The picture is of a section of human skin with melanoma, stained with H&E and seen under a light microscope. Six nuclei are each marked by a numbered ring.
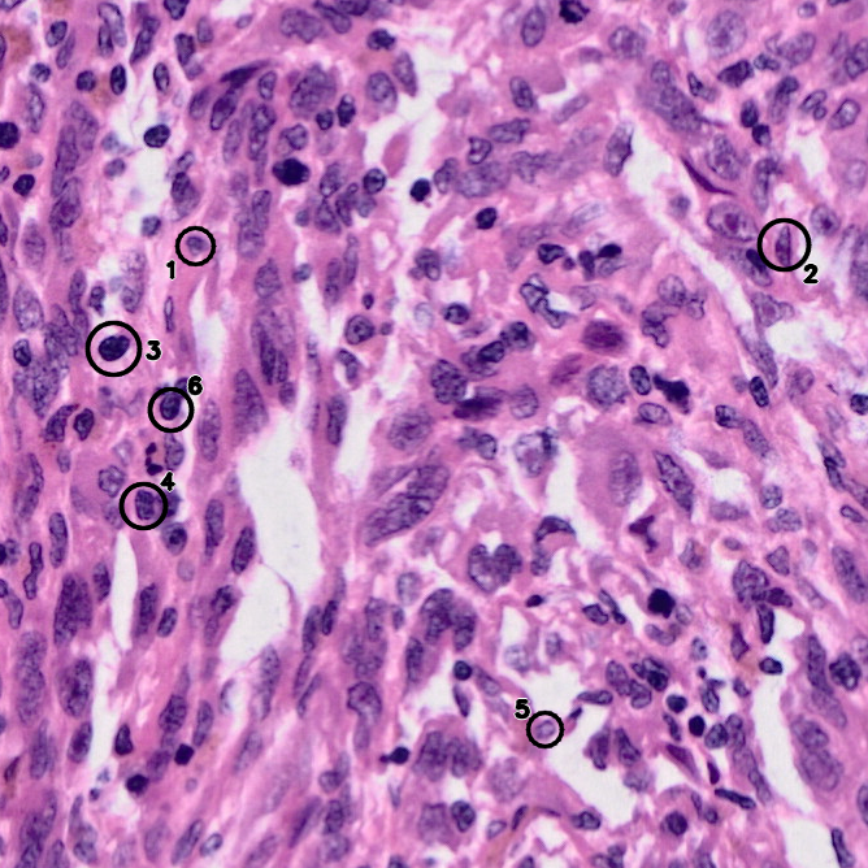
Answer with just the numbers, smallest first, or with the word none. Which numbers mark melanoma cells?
2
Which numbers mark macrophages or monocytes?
5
